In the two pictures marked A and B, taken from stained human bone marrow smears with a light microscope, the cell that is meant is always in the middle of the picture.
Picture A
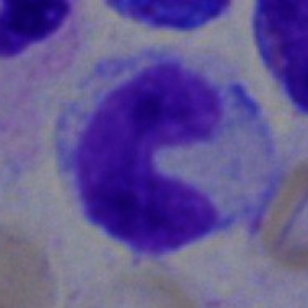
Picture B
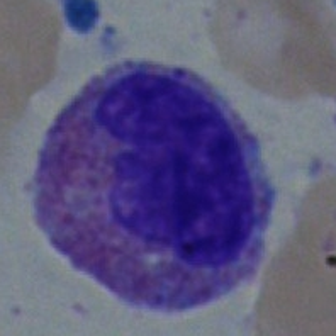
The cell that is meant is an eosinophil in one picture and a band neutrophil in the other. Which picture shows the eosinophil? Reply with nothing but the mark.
B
